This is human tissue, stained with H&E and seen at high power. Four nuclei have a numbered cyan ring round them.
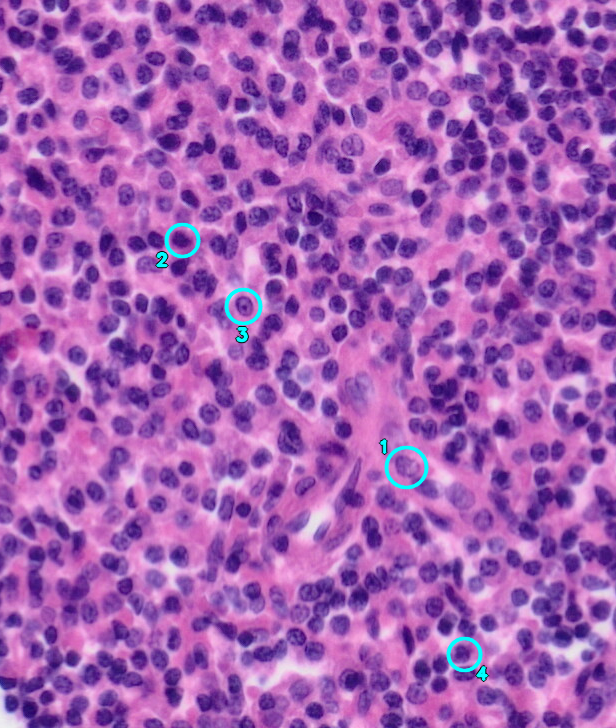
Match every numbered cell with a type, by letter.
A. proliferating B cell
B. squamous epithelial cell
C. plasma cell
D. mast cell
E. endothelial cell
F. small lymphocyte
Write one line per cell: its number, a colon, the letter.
1: E
2: C
3: C
4: C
